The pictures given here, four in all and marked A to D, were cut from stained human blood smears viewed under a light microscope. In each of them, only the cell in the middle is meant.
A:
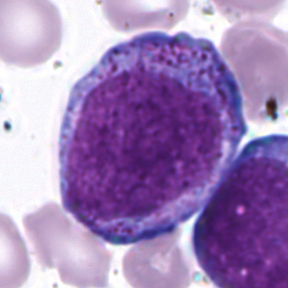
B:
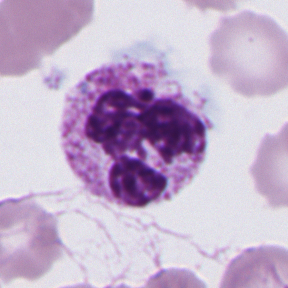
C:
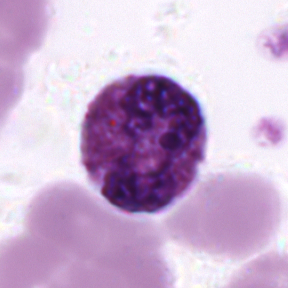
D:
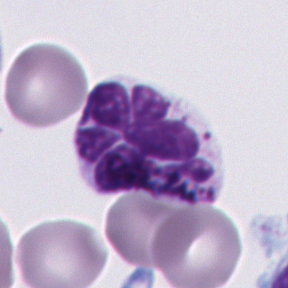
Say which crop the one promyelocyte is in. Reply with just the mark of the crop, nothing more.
A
